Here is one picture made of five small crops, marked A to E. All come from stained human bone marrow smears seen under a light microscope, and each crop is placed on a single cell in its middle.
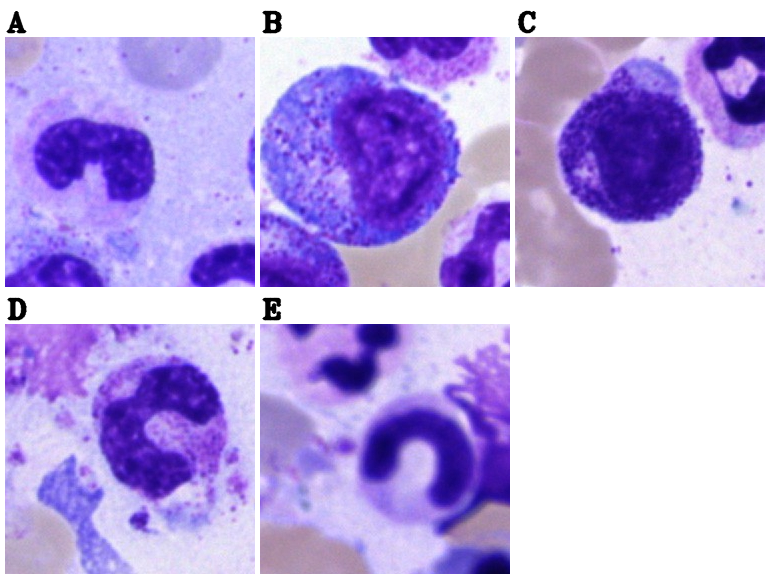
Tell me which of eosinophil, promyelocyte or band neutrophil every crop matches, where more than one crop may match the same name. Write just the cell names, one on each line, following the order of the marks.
band neutrophil
promyelocyte
promyelocyte
band neutrophil
band neutrophil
